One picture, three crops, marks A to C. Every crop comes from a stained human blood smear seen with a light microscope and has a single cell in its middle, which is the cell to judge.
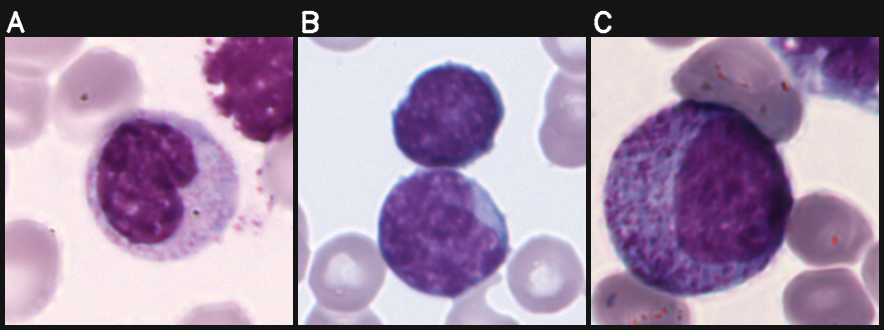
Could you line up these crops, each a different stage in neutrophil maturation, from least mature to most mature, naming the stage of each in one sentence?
From least to most mature, the sequence is given by crop B (a blast), crop C (a promyelocyte) and crop A (a metamyelocyte).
